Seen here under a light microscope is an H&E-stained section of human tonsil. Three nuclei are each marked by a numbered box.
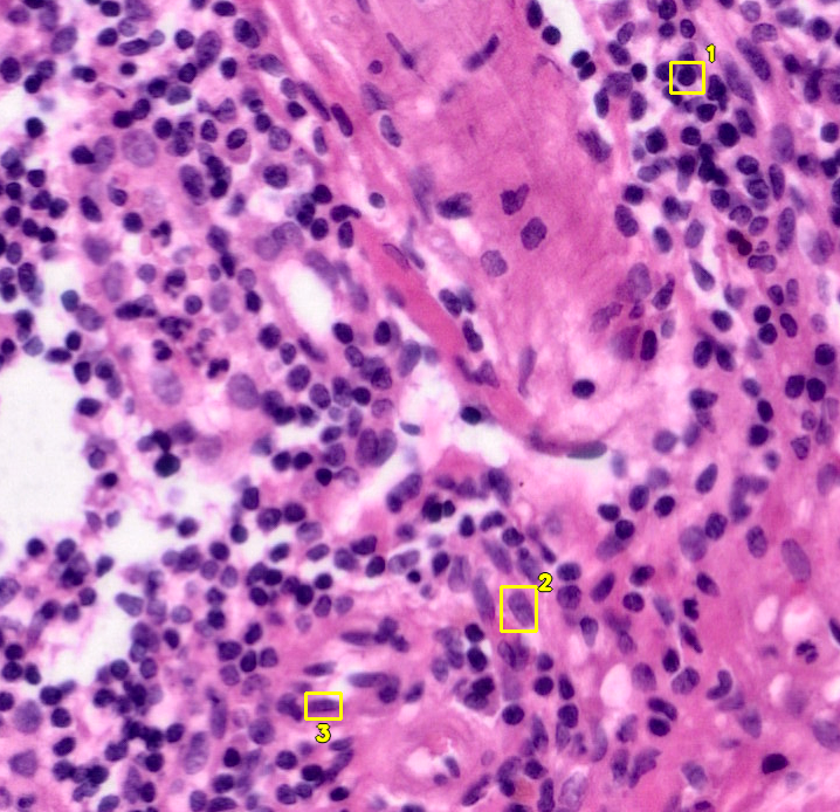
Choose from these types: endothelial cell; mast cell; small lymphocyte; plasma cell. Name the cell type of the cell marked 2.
endothelial cell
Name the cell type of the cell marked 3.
endothelial cell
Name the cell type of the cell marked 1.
small lymphocyte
